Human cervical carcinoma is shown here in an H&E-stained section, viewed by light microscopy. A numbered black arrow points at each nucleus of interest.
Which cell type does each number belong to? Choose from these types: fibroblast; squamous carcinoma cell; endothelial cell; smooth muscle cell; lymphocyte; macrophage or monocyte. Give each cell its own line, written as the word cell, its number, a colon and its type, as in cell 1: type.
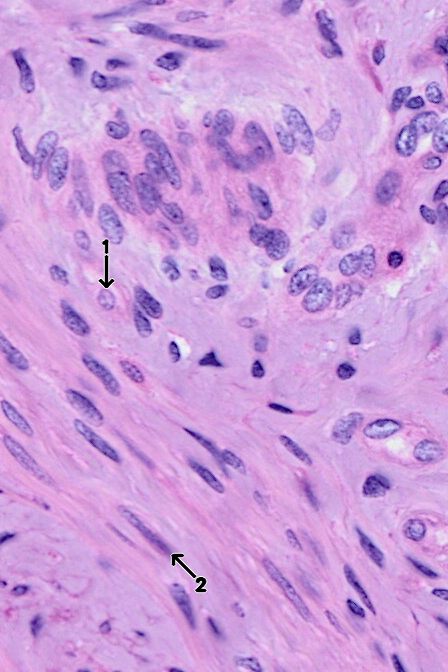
cell 1: endothelial cell
cell 2: smooth muscle cell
